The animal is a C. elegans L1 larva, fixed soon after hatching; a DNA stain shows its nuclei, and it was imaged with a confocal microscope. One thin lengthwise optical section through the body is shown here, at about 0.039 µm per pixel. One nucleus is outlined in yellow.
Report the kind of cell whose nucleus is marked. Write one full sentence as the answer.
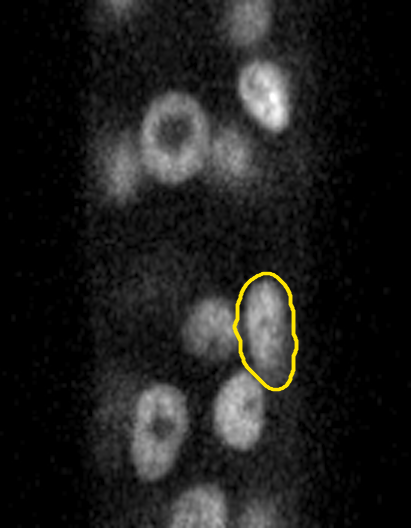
This is the nucleus of a body wall muscle cell.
